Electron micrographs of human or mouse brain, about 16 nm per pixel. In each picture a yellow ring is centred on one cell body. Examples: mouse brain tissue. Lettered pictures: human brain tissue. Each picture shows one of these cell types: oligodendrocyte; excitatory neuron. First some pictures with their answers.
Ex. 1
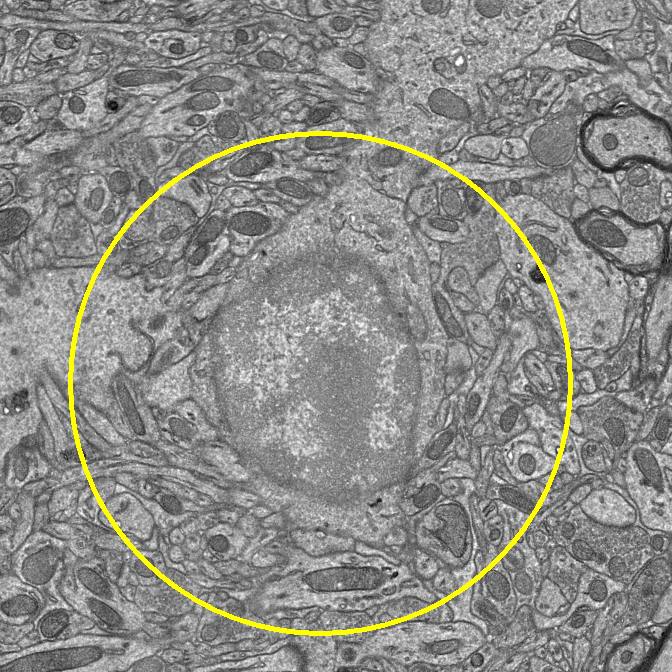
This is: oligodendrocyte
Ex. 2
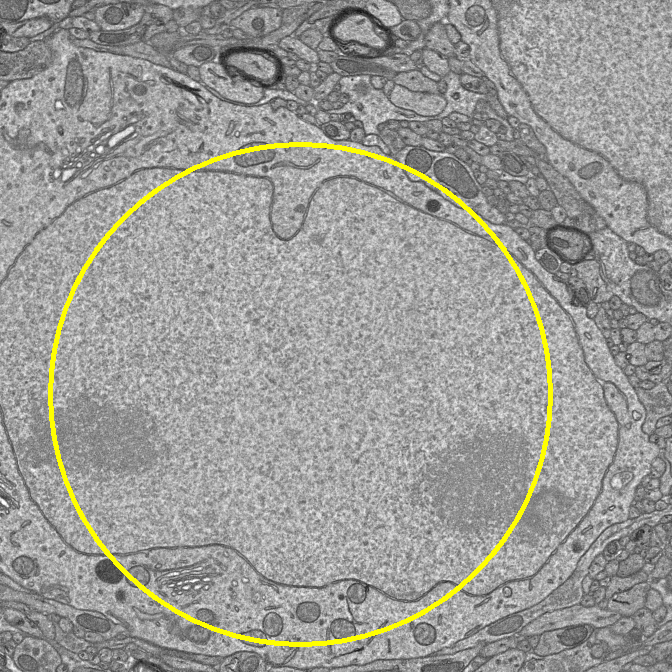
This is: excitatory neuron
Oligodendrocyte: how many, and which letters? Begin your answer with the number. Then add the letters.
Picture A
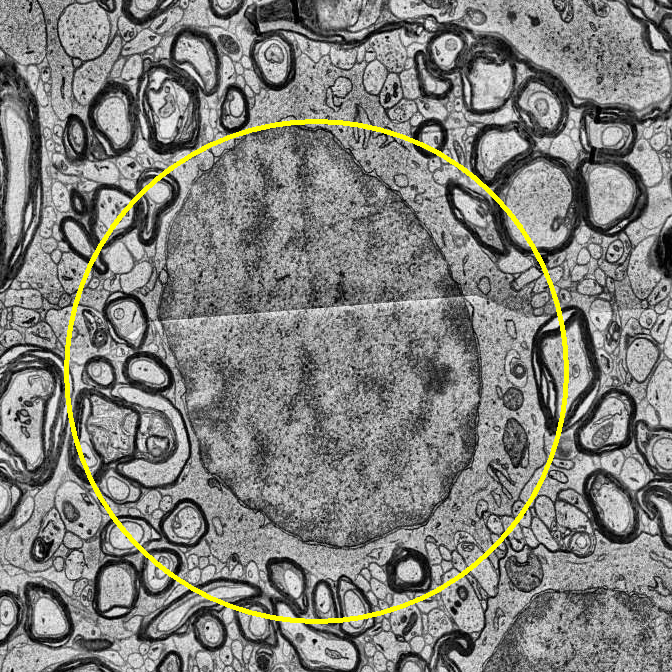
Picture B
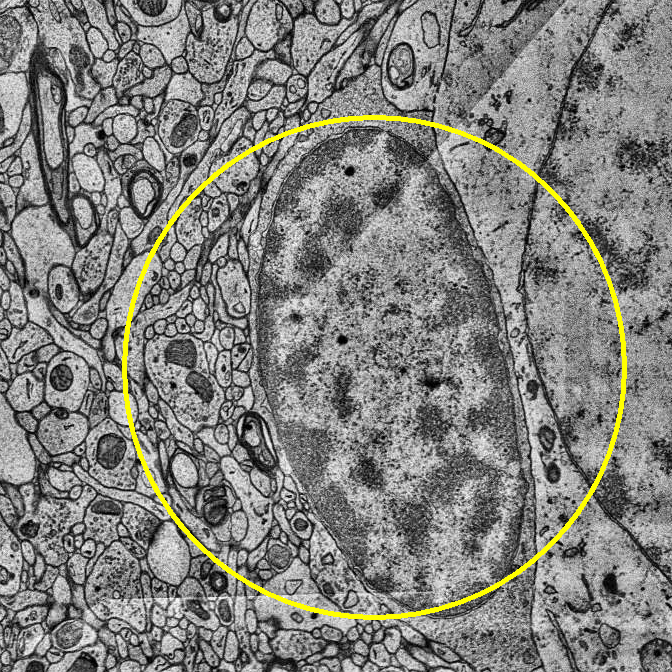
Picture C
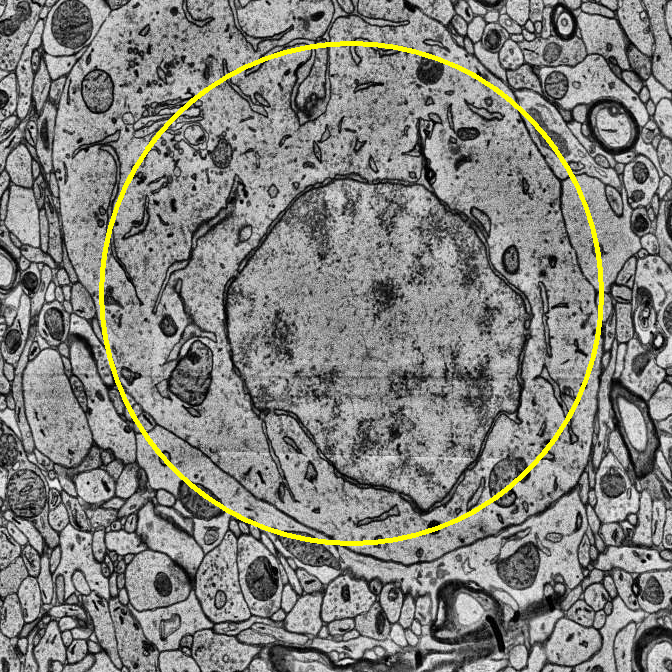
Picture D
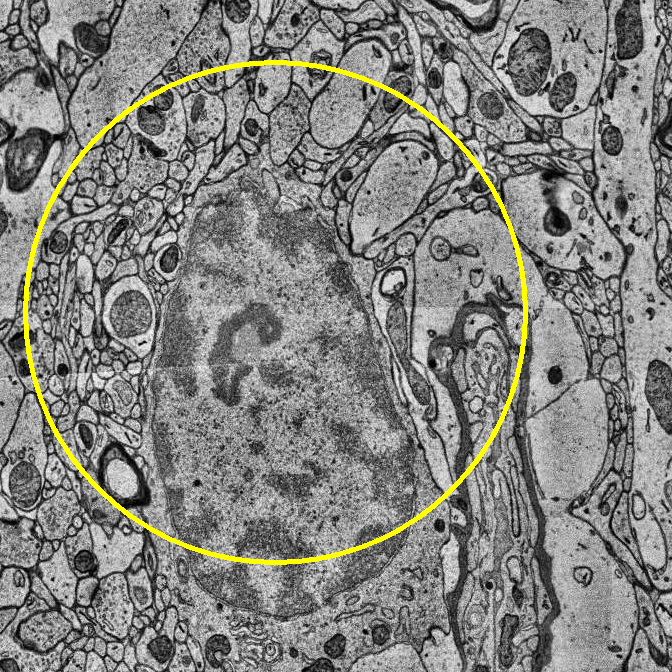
Count: 3 (A, B, D)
